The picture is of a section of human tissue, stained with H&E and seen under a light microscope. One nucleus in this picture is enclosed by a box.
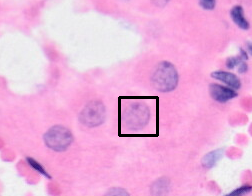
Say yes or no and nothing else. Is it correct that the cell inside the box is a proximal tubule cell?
yes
